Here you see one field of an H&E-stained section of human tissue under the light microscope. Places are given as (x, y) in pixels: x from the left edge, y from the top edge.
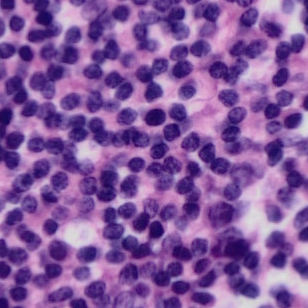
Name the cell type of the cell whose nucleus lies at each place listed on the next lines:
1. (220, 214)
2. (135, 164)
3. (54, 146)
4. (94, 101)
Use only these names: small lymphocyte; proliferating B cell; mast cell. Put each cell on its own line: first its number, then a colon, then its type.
1: proliferating B cell
2: small lymphocyte
3: small lymphocyte
4: small lymphocyte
